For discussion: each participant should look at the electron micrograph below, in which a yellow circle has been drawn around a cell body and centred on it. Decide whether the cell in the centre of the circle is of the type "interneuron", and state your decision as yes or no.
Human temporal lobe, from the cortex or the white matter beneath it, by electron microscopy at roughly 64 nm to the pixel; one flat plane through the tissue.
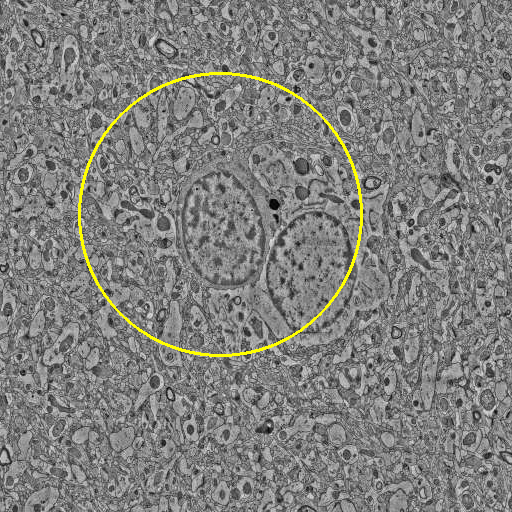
no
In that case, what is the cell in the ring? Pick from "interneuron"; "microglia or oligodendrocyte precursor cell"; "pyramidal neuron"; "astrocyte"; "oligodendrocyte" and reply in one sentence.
The correct answer is that the cell is an oligodendrocyte.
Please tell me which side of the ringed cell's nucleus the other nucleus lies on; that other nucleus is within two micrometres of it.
The other one lies to the right of it.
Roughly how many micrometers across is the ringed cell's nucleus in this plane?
The nucleus measures about 7 by 5 micrometres in this plane.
